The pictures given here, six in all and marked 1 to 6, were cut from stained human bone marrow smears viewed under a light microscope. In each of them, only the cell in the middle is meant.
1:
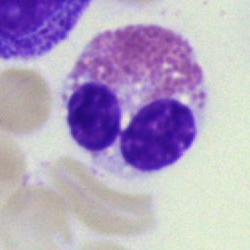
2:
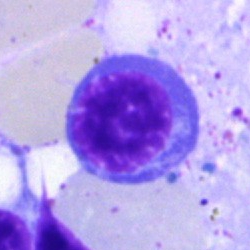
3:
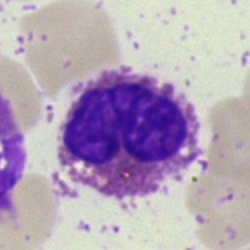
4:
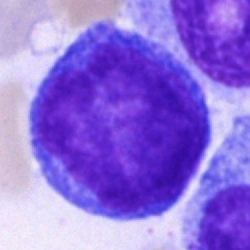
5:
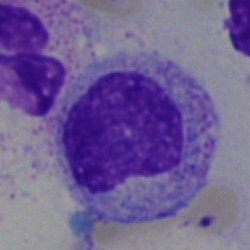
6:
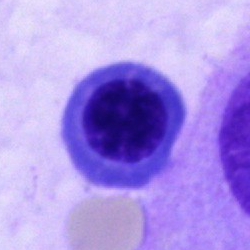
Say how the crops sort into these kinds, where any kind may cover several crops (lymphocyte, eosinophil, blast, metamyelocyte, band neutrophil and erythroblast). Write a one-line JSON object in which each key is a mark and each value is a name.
{"1": "eosinophil", "2": "erythroblast", "3": "eosinophil", "4": "blast", "5": "metamyelocyte", "6": "erythroblast"}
